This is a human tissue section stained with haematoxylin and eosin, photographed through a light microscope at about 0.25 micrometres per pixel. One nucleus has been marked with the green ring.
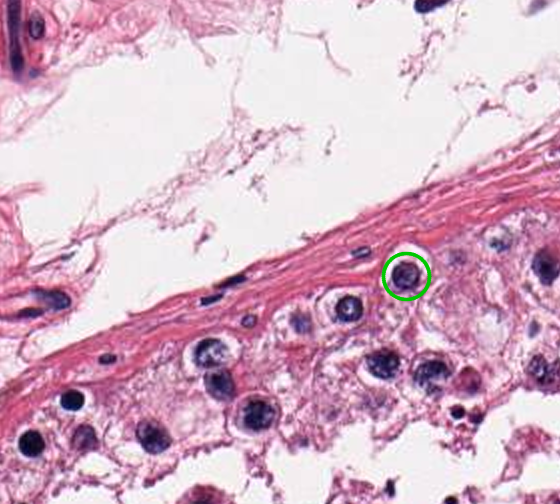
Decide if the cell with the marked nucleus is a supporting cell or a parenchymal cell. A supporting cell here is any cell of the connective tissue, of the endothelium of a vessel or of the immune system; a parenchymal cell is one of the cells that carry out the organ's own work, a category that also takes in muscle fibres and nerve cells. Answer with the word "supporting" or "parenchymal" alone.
parenchymal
